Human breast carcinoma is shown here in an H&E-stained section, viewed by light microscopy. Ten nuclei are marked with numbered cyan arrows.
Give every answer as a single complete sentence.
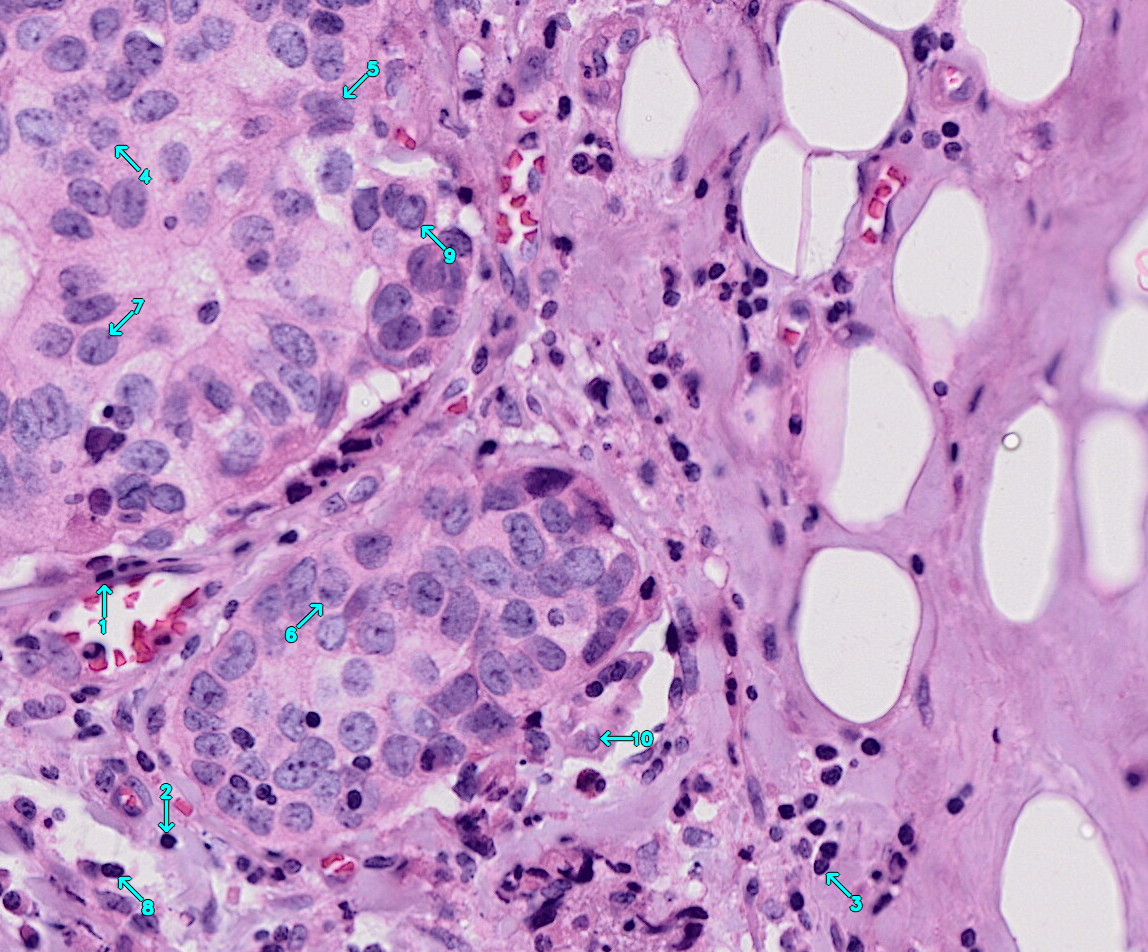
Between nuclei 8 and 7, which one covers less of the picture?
Nucleus 8 is the smaller one; nucleus 7 covers about 3 times its area.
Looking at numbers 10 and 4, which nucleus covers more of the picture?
The larger nucleus is 4, at roughly 3 times the area of 10.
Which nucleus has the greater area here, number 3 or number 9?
Nucleus 9 is larger, with an area about 4 times that of nucleus 3.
